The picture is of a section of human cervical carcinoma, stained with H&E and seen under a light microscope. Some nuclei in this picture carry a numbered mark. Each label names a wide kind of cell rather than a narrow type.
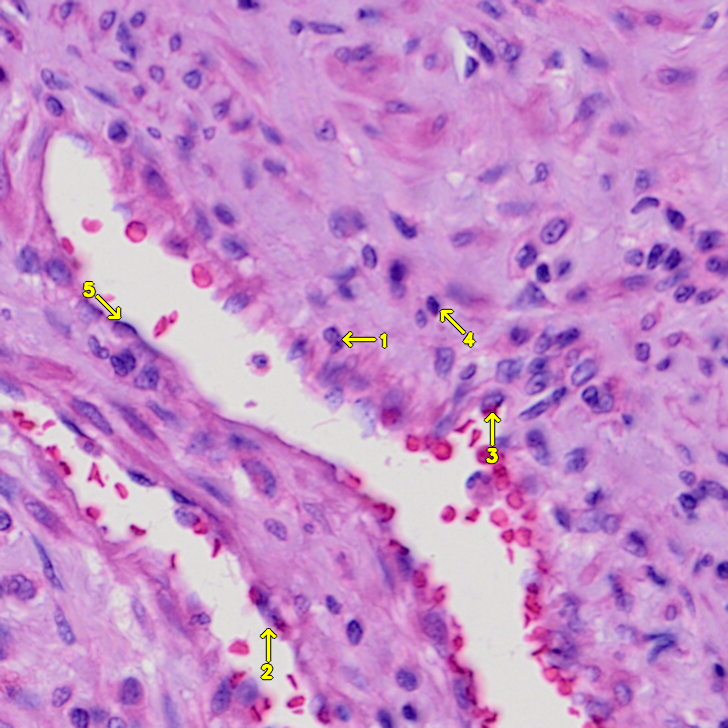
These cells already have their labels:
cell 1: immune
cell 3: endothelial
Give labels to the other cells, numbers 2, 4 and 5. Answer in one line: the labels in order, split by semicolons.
endothelial; immune; endothelial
